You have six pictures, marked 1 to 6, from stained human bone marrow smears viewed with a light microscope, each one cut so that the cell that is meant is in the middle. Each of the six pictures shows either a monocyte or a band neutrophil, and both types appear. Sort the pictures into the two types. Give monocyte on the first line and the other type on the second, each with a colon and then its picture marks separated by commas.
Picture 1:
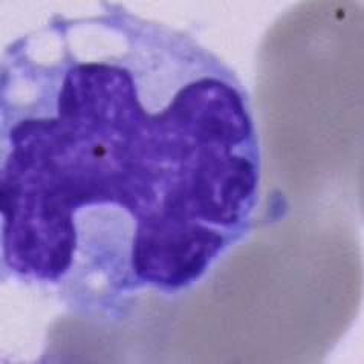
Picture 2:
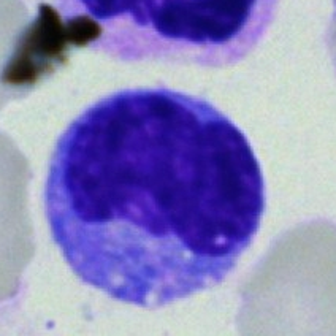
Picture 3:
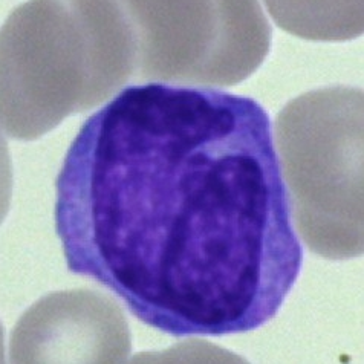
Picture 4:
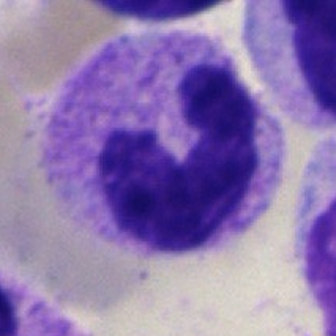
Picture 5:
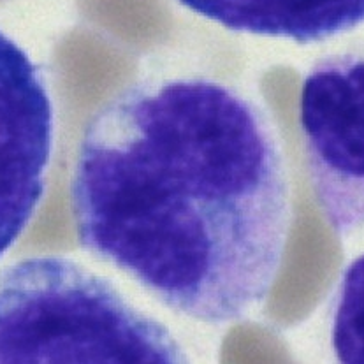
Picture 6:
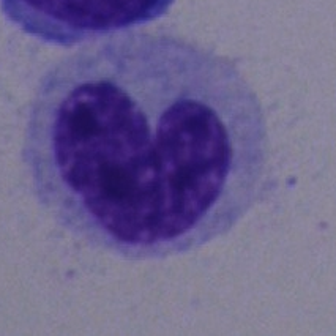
monocyte: 1, 2, 3, 5
band neutrophil: 4, 6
